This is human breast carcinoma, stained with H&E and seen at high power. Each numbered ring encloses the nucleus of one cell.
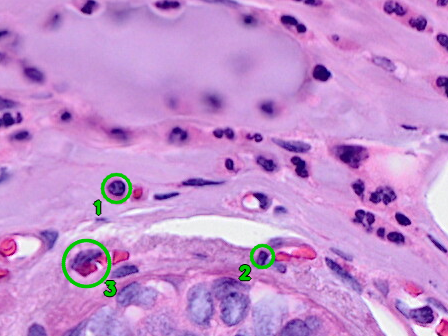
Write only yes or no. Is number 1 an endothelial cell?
no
